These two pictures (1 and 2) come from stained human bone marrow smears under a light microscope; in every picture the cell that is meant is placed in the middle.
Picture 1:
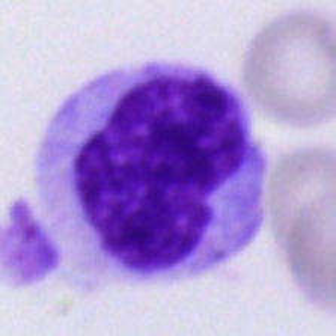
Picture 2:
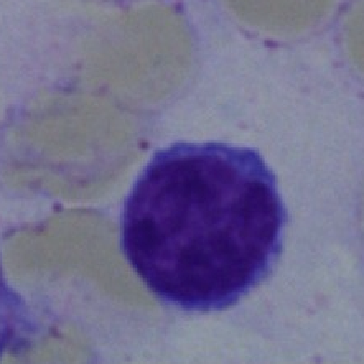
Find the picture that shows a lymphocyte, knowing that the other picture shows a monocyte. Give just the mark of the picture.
2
